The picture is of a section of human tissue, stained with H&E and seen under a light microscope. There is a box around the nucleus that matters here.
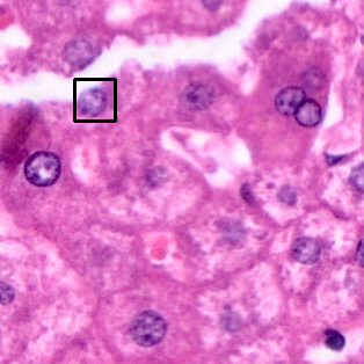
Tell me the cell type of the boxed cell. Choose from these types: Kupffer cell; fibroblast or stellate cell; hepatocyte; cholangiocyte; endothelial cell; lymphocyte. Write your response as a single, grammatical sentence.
Placed in its cell category, the boxed cell is a hepatocyte.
